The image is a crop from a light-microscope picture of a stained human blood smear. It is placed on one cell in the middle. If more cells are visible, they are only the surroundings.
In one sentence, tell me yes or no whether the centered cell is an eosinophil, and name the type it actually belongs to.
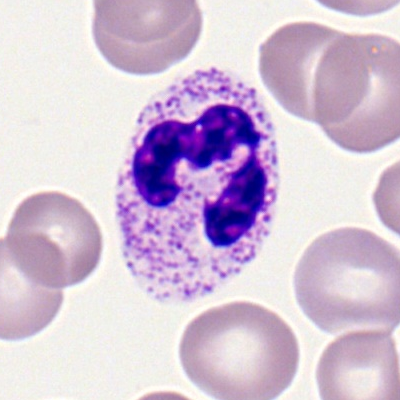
No, the central cell is designated a neutrophil and not an eosinophil.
